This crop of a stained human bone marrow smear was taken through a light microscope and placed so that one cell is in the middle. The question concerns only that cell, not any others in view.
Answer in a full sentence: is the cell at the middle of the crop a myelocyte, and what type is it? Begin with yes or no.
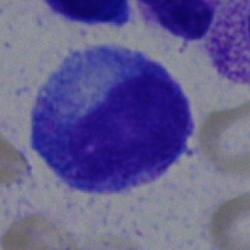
Yes, the central cell here is a myelocyte.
